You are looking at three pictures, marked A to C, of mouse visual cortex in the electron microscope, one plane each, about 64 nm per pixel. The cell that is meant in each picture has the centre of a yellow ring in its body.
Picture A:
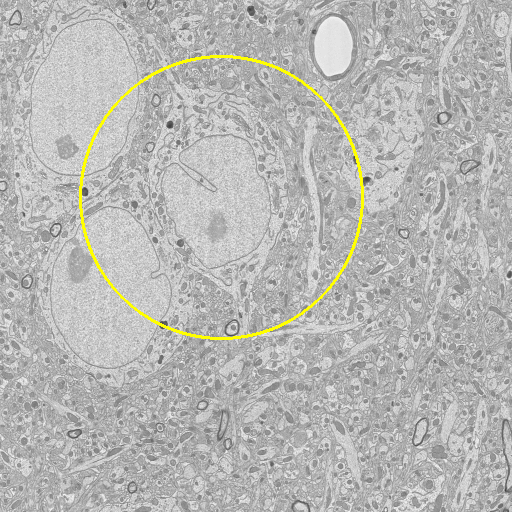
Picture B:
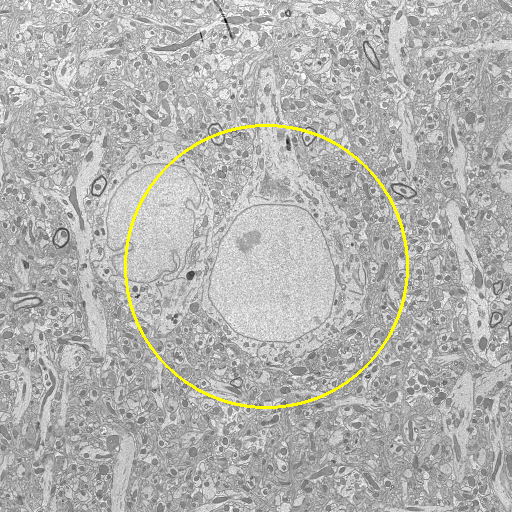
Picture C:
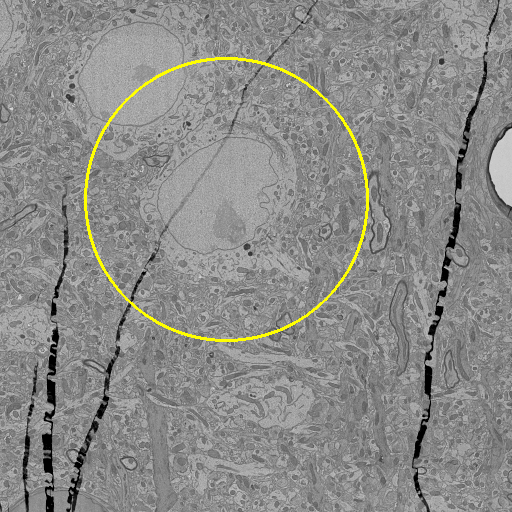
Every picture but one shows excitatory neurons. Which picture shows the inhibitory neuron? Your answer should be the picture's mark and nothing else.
A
